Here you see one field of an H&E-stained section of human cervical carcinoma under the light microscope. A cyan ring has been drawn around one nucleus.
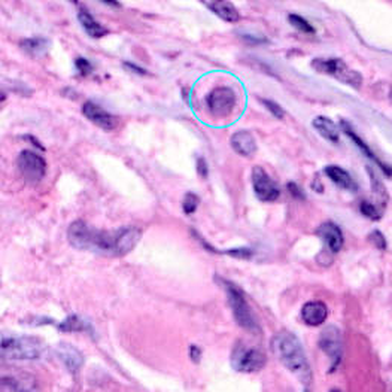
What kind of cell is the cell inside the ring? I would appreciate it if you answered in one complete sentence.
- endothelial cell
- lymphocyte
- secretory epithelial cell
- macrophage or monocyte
In this tissue section, the cell inside the ring is to be classed as a macrophage or monocyte.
